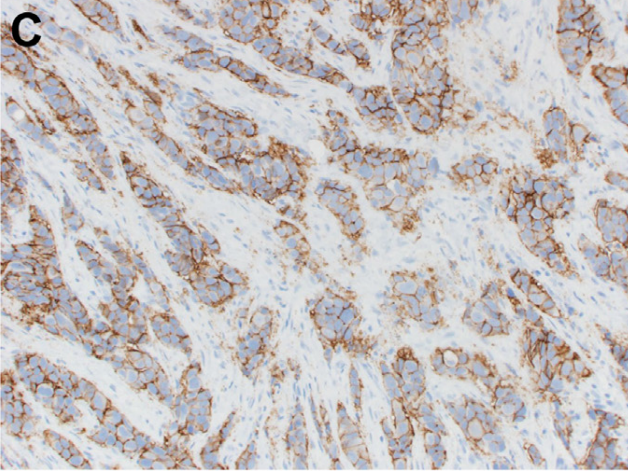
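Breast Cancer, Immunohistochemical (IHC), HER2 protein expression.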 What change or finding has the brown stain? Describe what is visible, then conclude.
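Weak to moderate complete membrane staining. Thin brown lines outline tumor cells in many nests. The brown rings are thinner and paler than a strong dark stain. Cytoplasm and nuclei stay largely blue.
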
